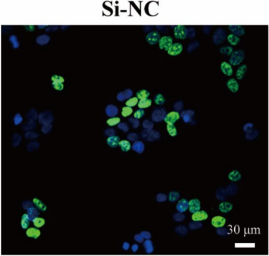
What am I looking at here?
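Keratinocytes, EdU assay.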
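The nuclei are round to oval and lie singly or in small, tight clusters scattered across the field. Green and purely blue nuclei sit side by side within the same clusters.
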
